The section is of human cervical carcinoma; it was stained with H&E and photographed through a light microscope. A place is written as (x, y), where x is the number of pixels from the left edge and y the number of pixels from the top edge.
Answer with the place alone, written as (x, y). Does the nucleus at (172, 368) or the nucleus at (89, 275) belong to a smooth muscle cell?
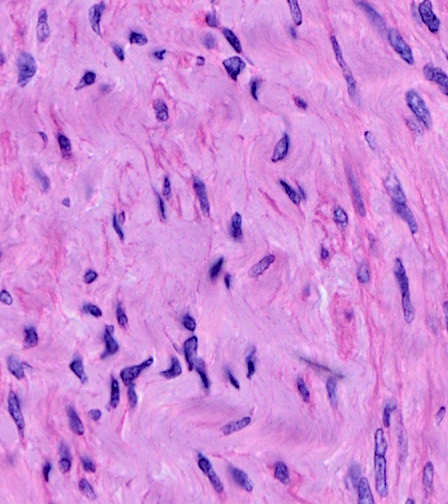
(89, 275)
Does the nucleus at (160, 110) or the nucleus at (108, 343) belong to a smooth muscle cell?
(160, 110)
